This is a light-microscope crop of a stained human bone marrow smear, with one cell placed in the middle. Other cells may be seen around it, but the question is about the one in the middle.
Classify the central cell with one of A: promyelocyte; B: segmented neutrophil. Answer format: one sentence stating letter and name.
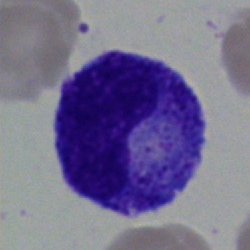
Option A is right, the centrally situated cell being a promyelocyte.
